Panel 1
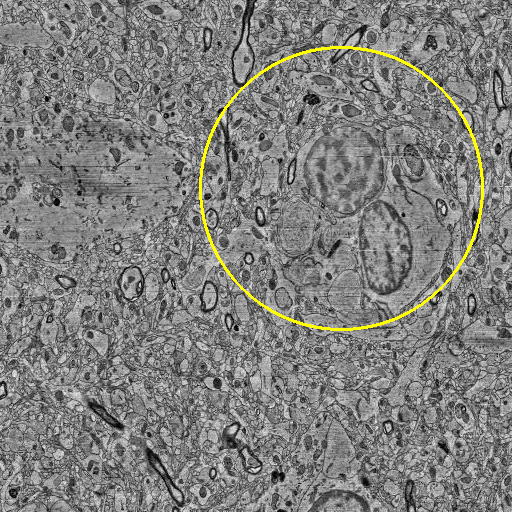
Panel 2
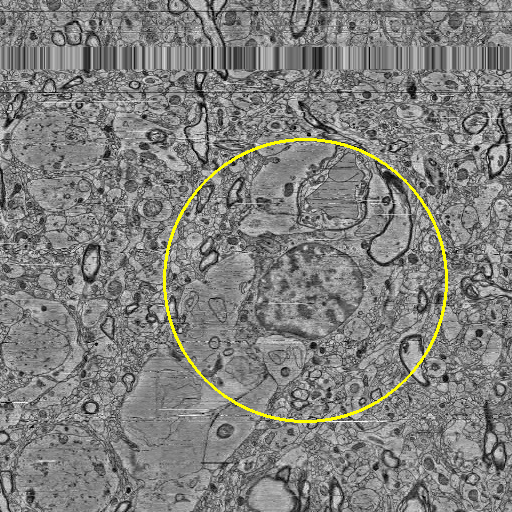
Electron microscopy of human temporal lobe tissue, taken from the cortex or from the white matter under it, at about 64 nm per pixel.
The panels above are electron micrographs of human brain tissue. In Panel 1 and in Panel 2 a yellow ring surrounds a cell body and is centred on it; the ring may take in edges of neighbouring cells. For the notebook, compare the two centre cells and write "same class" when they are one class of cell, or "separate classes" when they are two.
same class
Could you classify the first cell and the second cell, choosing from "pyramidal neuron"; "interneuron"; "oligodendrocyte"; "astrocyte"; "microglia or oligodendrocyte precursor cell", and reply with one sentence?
Both the first and the second picture show an oligodendrocyte in the ring.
